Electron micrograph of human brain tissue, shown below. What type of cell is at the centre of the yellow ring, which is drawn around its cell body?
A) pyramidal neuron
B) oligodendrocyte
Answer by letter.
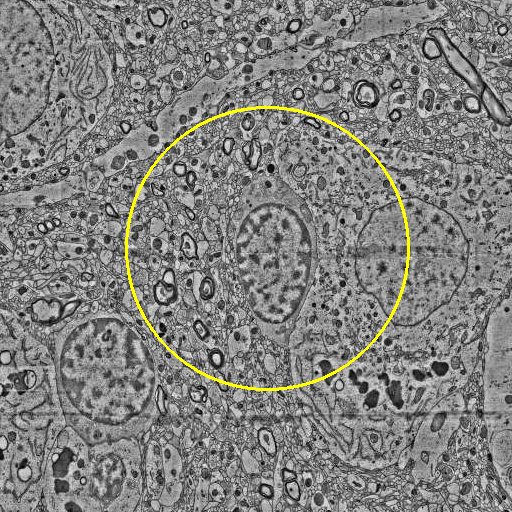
B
